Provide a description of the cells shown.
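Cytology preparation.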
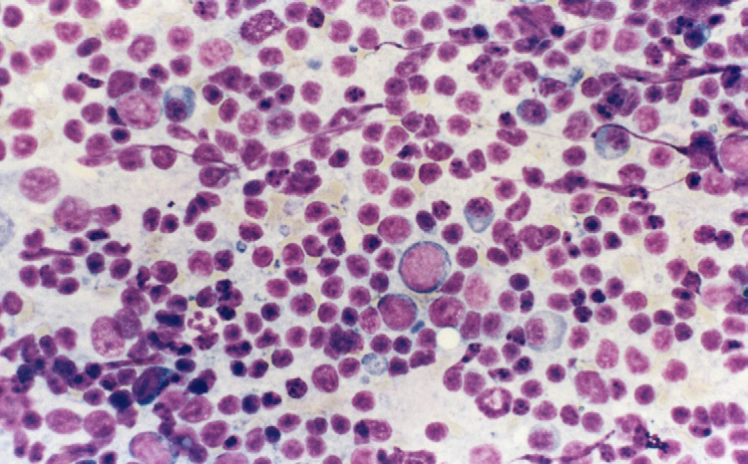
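This smear holds a dense, mixed population of loose lymphoid cells. Most are small round cells with dark, compact purple nuclei and hardly any cytoplasm. Among them lie larger cells with bigger, paler nuclei, a few cells with blue cytoplasm and an off-centre nucleus, and occasional large cells with abundant pale cytoplasm.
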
